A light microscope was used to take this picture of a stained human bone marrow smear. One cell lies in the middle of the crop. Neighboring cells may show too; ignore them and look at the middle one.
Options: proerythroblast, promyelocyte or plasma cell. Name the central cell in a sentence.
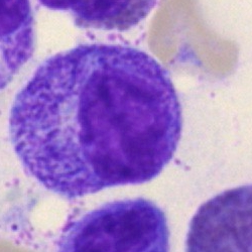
The cell shown in the center of this light-microscope crop is a promyelocyte.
